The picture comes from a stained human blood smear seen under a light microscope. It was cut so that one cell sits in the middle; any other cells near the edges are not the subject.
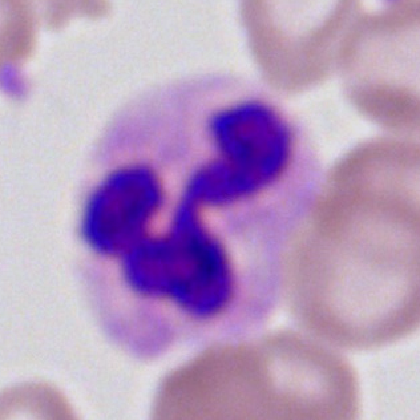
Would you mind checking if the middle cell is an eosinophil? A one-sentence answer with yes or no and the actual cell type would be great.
No, this cell in the middle is a segmented neutrophil, so it is not an eosinophil.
